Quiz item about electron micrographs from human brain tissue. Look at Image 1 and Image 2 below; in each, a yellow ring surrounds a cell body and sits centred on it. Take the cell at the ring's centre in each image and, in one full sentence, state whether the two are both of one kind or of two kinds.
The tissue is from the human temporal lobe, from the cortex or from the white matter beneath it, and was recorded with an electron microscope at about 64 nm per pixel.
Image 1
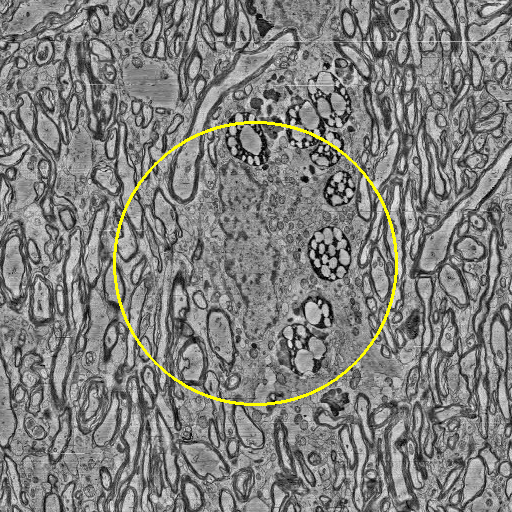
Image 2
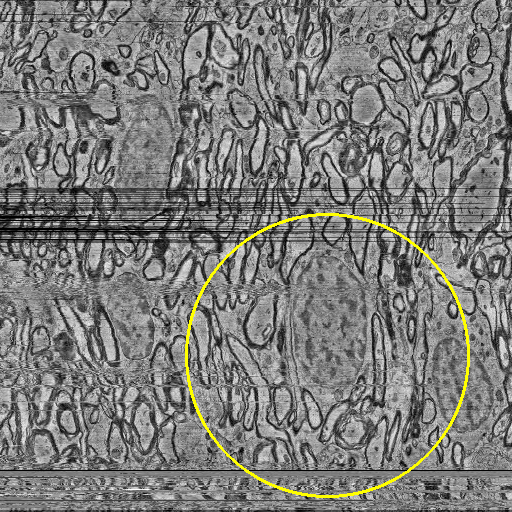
In Image 1 and Image 2, the cells at the ring centres are of two kinds.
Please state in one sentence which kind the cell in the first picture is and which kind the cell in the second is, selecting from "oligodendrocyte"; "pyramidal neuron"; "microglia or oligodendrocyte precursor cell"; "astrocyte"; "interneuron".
The first ringed cell is an astrocyte, the second ringed cell an oligodendrocyte.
